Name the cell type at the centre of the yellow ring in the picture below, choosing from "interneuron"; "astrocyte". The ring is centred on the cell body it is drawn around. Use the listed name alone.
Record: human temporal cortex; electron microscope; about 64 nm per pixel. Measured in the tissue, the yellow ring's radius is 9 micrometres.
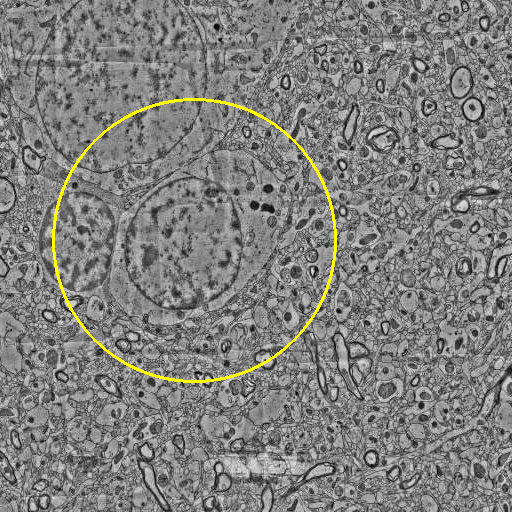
interneuron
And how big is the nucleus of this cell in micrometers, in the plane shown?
About 9 by 7 micrometers, in this plane.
